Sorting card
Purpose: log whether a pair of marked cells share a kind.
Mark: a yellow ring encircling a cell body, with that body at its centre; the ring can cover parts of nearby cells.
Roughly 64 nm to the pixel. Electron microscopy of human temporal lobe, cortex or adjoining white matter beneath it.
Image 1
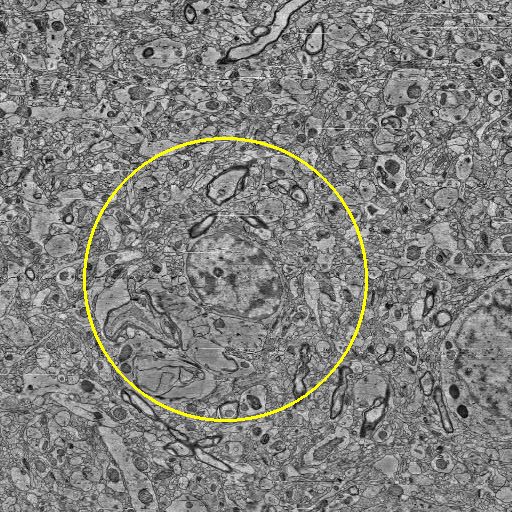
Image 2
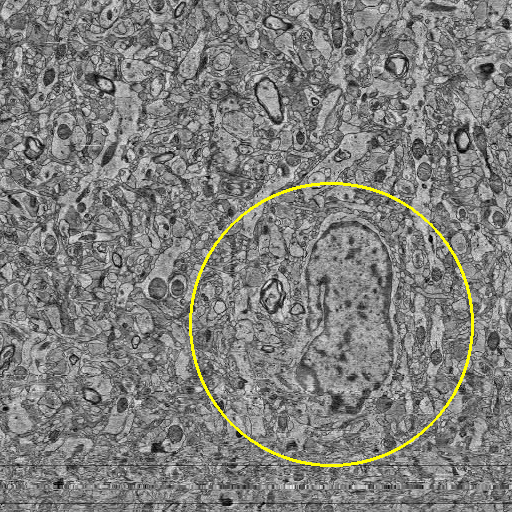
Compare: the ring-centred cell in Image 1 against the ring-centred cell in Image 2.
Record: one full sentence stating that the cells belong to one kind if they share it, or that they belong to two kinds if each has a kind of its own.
Across Images 1 and 2, the two ring-centred cells belong to two kinds.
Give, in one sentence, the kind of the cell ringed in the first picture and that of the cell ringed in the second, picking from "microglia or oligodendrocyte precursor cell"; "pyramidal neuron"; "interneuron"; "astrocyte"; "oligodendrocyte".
For the first picture it is an oligodendrocyte; for the second, a microglial cell or oligodendrocyte precursor cell.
